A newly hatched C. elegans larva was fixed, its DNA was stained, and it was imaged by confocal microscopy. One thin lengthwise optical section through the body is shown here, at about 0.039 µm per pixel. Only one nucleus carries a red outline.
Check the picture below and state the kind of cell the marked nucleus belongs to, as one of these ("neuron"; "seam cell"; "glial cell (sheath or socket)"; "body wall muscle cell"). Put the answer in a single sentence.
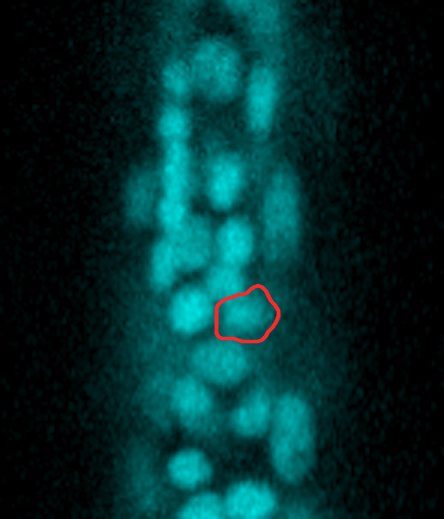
The cell with the marked nucleus is a neuron.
